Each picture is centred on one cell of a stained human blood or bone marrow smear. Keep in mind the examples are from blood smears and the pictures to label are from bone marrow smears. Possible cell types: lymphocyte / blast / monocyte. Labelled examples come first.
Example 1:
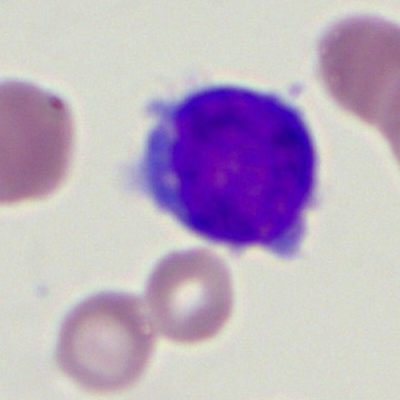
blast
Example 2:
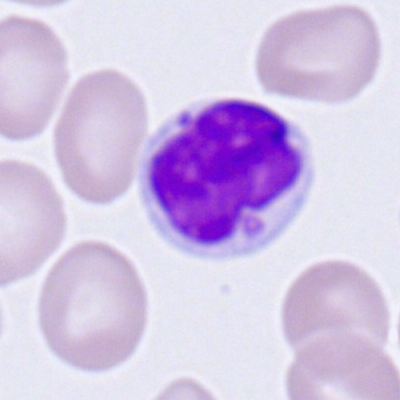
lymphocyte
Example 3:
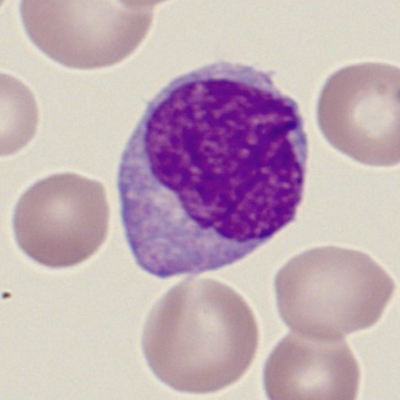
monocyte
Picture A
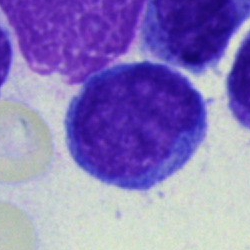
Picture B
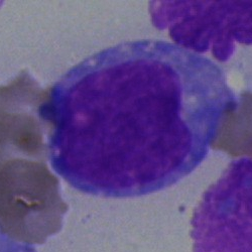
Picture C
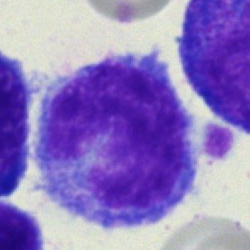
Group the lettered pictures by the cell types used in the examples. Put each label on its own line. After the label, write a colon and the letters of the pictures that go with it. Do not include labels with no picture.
blast: A, B
monocyte: C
